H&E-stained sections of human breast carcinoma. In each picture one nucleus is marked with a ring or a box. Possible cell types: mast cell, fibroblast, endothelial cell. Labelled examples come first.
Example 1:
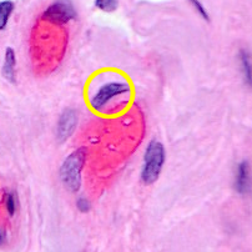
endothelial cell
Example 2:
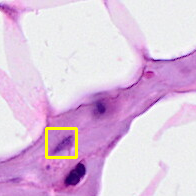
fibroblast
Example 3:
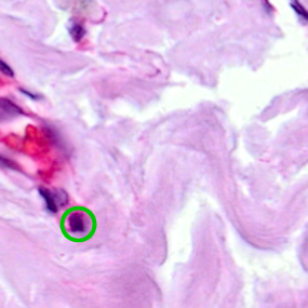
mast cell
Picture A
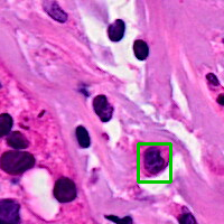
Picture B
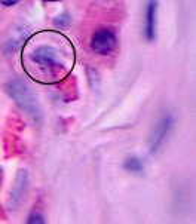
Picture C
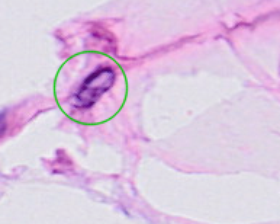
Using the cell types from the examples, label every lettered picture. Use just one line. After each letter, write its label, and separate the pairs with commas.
A mast cell, B endothelial cell, C fibroblast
